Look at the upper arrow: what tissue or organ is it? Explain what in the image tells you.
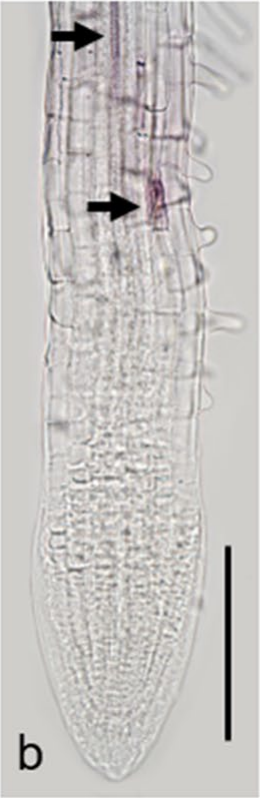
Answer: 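The upper arrow points to a thin purple-tinged strand running lengthwise in the root's centre. That points to this answer: xylem.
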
